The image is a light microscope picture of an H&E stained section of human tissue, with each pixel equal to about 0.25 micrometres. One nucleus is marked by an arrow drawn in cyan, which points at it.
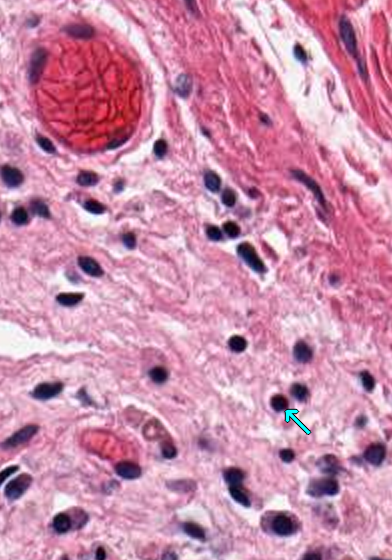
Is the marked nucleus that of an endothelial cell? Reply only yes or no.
no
